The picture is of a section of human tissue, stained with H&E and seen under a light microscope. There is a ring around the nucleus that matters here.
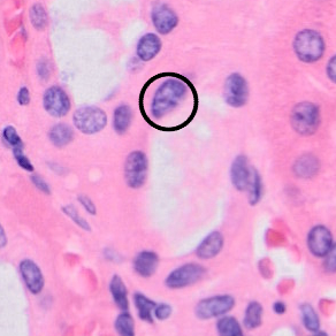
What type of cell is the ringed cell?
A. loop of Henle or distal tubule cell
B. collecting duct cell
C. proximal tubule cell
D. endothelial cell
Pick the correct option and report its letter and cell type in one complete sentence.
Here the correct option is B, since the ringed cell is a collecting duct cell.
